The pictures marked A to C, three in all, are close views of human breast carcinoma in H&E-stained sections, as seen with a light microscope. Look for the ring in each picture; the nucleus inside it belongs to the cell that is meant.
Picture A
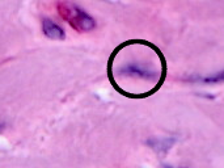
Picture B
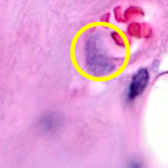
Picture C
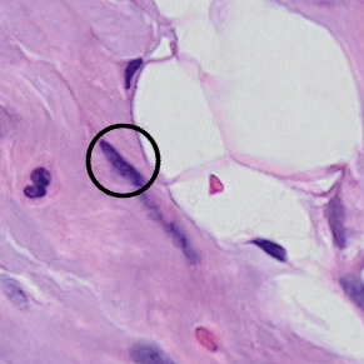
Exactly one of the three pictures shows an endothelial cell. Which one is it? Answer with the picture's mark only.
B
